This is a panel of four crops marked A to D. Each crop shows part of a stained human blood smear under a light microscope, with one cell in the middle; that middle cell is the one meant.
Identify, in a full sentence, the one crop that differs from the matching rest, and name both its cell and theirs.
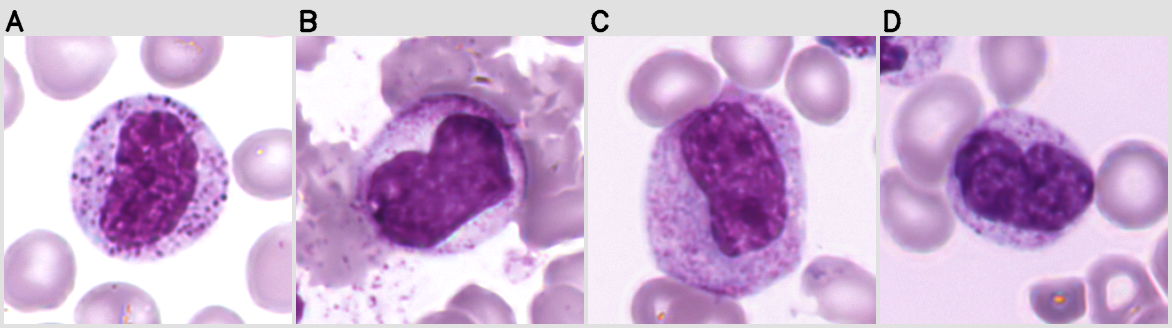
Only one crop differs, namely crop C, which is a myelocyte; the others show metamyelocytes.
